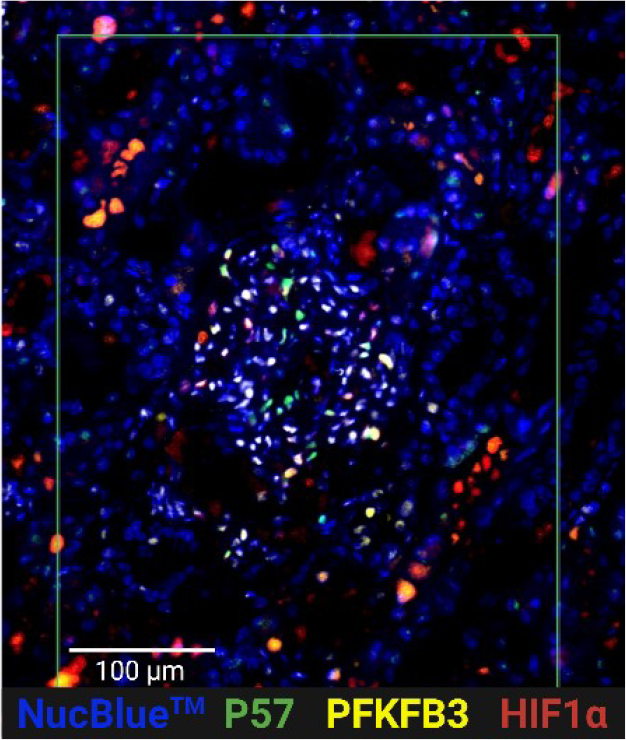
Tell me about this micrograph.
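The surrounding tissue holds blue nuclei of tubular and interstitial cells, with dark gaps of tubular lumens. Scattered bright red and orange cells lie mainly outside the glomerulus, some in small groups at the left and lower right.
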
